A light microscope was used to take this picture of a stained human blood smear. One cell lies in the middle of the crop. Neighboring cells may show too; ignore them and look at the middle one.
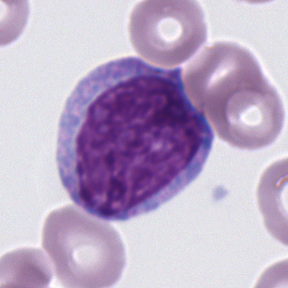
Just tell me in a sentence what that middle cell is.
The centered cell in this crop is an atypical promyelocyte.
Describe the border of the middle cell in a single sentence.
Thanks for asking; the cell edge is smooth and has no projections.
